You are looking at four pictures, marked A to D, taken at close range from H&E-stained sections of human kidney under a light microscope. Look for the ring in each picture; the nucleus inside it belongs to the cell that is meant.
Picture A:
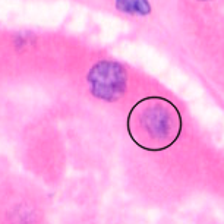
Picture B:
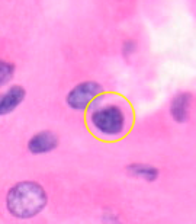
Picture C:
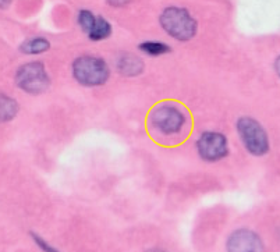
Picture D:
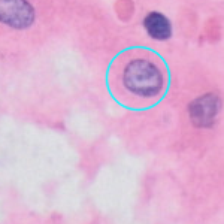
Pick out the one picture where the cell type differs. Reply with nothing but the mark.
B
